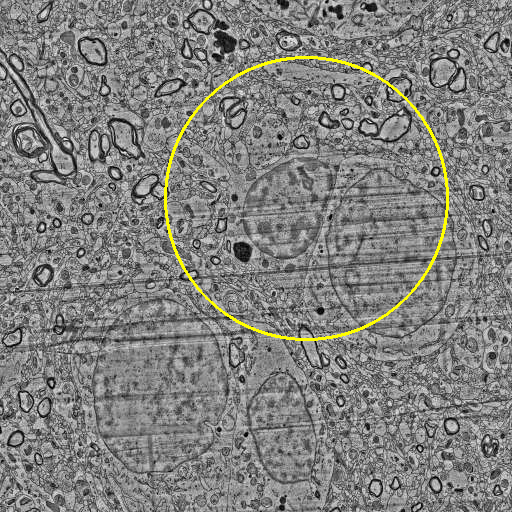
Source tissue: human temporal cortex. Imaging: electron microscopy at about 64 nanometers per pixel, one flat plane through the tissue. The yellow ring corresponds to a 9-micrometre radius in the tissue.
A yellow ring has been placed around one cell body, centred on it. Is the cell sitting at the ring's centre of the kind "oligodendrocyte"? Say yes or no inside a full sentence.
Yes, the cell sitting at the centre of the yellow ring is of that kind.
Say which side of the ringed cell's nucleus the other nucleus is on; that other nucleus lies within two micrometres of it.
The second nucleus sits to the right of it.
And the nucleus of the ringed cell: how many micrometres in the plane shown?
The nucleus of the ringed cell is approximately 7 by 5 micrometres in this plane.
